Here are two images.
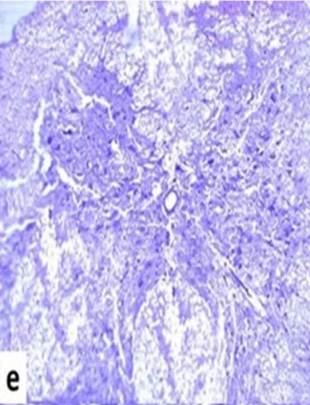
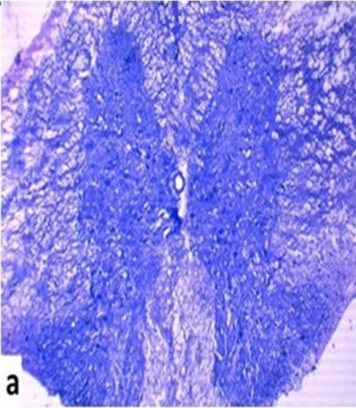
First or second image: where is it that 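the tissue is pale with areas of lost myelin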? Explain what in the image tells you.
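First image: the section is pale, washed-out blue with loose, frayed white matter.
Conclusion: the first image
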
